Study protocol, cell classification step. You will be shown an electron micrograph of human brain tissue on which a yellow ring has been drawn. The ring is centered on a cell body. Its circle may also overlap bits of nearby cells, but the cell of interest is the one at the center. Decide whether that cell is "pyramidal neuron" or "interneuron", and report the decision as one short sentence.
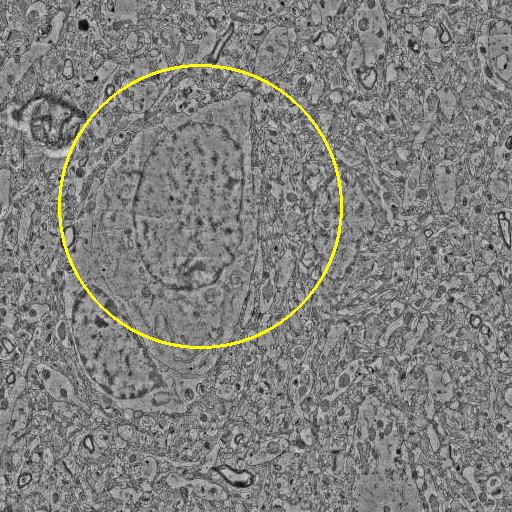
The marked cell is an interneuron.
